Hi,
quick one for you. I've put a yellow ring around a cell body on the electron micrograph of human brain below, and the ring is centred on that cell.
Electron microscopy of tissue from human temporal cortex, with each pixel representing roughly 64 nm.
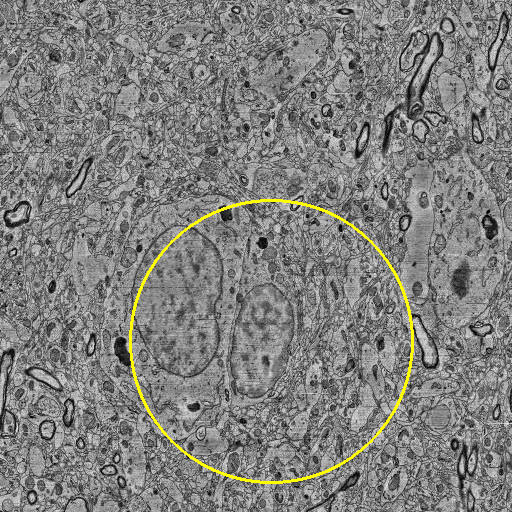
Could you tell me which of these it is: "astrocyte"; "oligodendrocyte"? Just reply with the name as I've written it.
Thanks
oligodendrocyte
